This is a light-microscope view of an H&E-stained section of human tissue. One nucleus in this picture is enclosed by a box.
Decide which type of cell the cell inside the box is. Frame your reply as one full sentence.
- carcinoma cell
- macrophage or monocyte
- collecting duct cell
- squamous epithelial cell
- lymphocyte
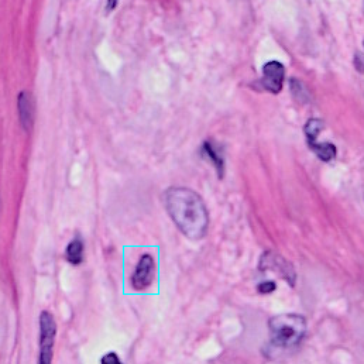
The cell type of the cell inside the box is that of a lymphocyte.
